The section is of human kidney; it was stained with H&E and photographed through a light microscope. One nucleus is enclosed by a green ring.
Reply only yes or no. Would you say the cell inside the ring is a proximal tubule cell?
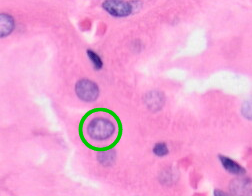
yes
